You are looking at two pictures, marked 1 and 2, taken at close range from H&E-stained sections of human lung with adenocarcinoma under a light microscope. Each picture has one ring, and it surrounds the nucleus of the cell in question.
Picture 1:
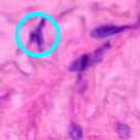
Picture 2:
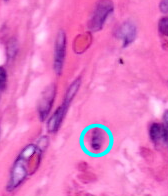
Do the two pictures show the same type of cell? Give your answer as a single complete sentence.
No, the types are not the same, since picture 1 shows a fibroblast and picture 2 a mast cell.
